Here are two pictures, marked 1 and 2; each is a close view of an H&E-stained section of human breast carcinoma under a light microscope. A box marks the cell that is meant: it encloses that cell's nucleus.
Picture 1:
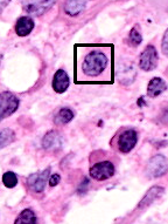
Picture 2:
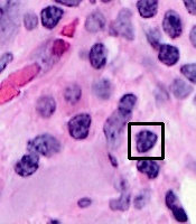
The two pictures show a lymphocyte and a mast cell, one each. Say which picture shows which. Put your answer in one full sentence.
The cell in picture 1 is a mast cell, and the one in picture 2 is a lymphocyte.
